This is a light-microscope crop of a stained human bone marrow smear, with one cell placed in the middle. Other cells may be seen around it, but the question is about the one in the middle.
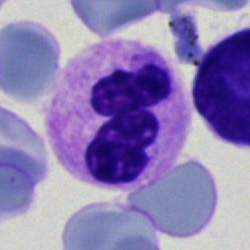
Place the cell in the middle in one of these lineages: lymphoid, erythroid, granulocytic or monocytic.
granulocytic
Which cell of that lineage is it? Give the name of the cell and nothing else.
segmented neutrophil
